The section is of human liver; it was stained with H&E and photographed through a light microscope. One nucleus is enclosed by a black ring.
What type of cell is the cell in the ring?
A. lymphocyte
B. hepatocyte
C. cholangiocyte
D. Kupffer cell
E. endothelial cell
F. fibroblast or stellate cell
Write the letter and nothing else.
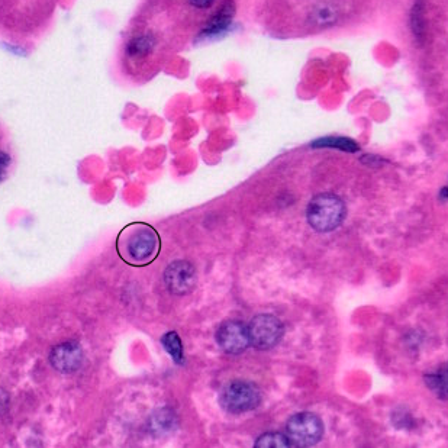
C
